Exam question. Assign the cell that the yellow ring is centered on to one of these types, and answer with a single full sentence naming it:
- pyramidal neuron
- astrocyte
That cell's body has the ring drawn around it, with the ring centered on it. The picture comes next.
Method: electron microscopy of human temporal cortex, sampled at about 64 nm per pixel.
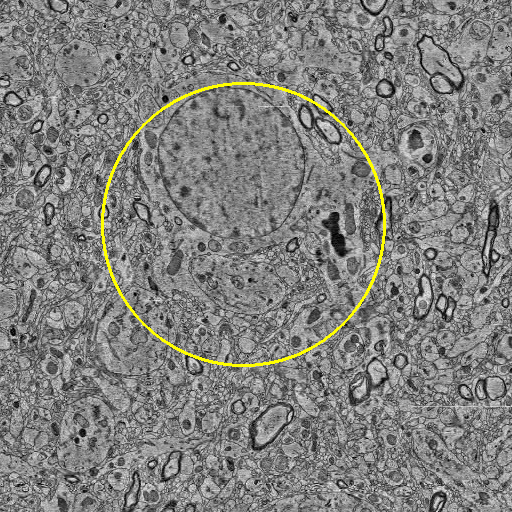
In the micrograph, the cell the yellow ring is centered on is an astrocyte.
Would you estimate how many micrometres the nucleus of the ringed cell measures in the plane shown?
The nucleus measures about 10 micrometers across in this plane.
